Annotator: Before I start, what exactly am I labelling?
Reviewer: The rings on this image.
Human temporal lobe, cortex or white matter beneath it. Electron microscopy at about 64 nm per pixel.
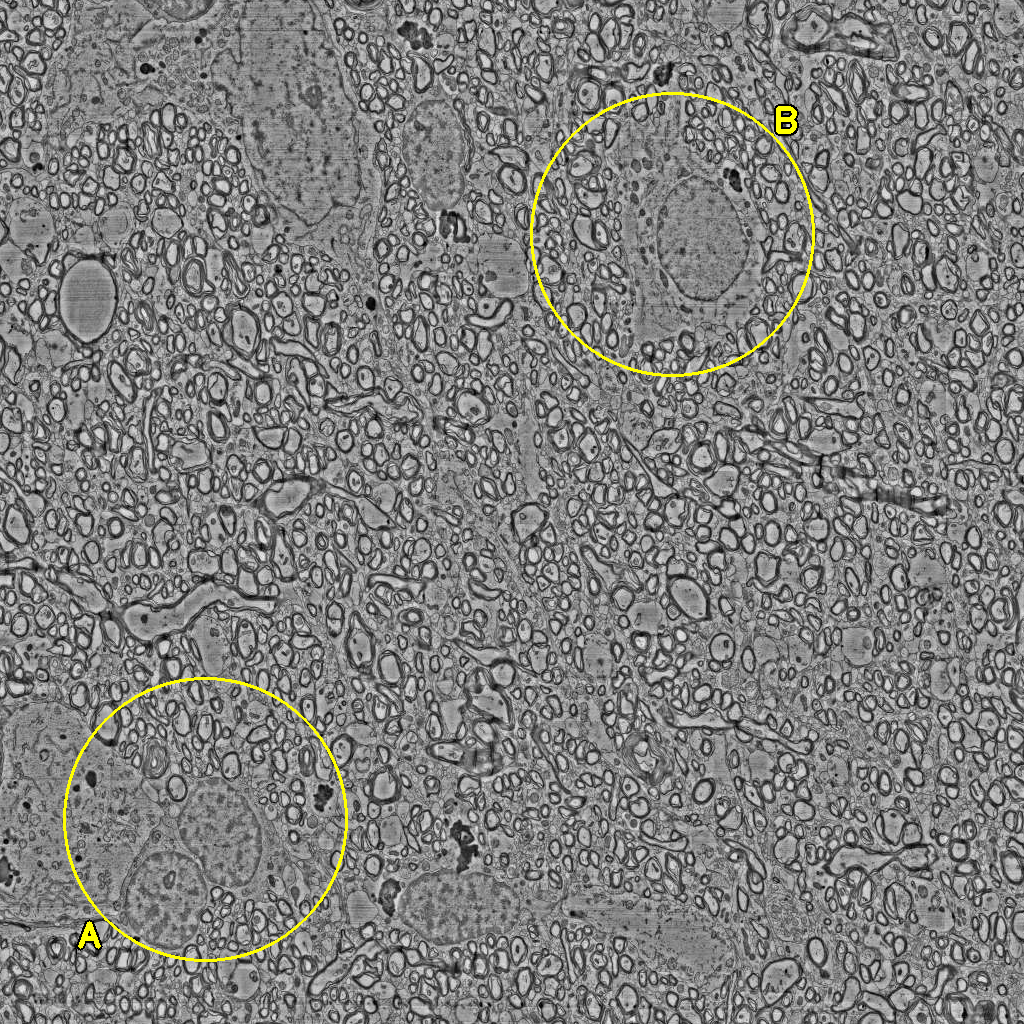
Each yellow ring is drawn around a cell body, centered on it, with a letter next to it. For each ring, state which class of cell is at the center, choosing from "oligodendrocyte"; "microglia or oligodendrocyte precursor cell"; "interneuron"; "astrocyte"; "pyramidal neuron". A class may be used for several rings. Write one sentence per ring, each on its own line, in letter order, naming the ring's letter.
At the center of ring A we have an oligodendrocyte.
At the center of ring B we have an astrocyte.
